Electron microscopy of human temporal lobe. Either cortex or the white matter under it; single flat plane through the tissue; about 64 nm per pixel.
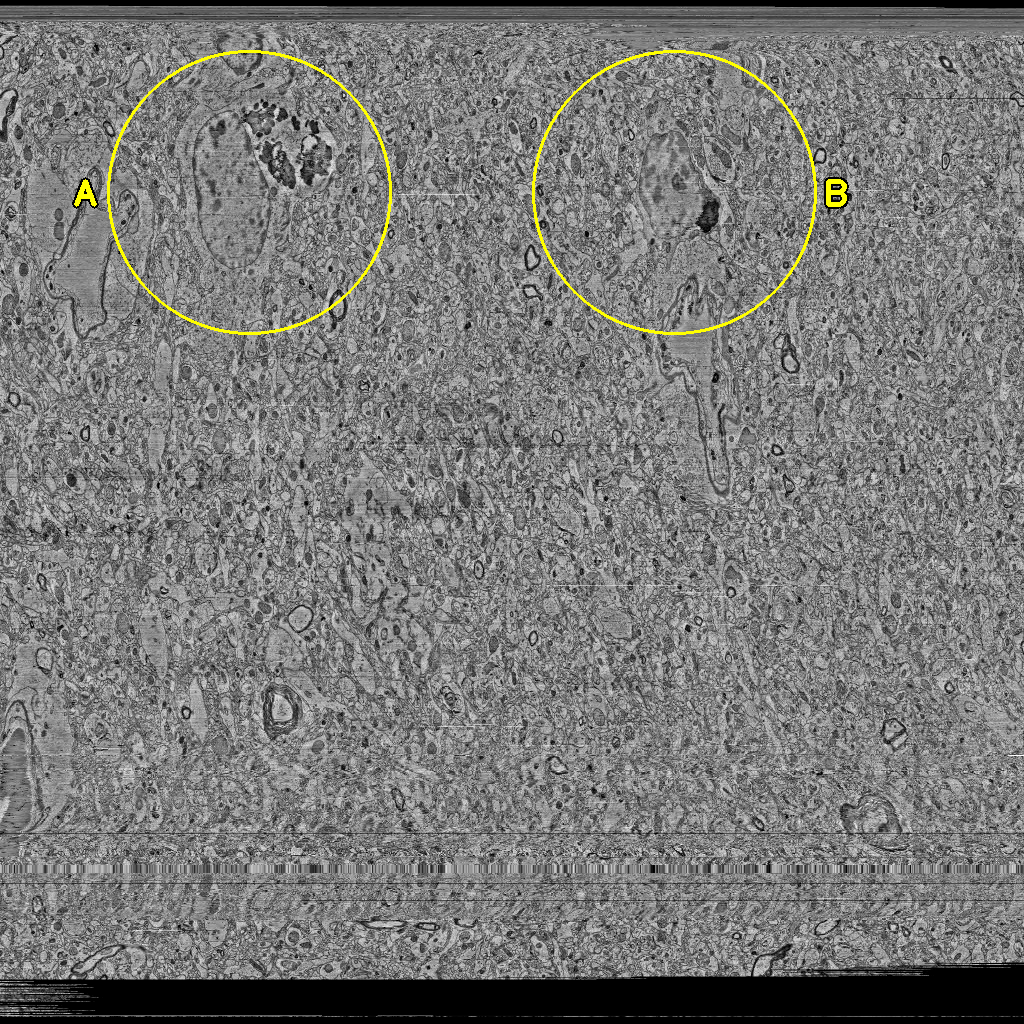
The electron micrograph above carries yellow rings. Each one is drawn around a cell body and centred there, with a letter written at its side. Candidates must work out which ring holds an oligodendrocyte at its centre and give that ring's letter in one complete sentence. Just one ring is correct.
Letter B marks the ring whose centre holds that kind of cell.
